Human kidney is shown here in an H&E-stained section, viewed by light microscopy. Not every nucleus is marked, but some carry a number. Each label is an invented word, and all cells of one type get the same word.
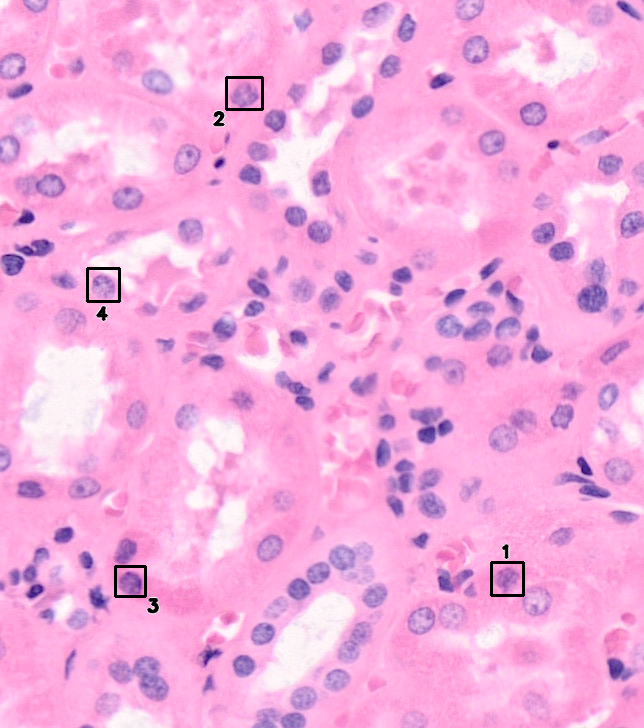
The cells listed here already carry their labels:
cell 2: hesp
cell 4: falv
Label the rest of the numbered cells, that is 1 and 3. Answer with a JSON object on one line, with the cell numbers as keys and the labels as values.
{"1": "hesp", "3": "hesp"}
